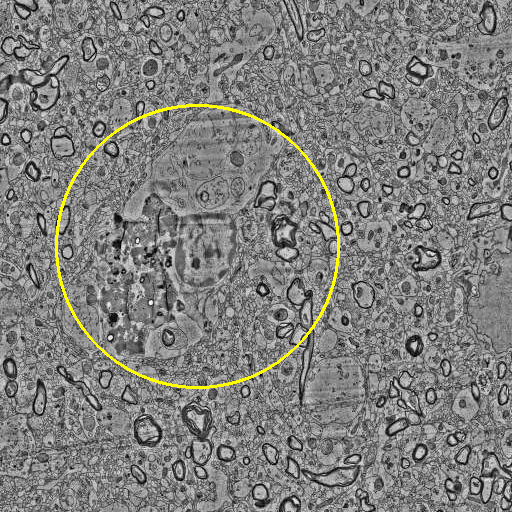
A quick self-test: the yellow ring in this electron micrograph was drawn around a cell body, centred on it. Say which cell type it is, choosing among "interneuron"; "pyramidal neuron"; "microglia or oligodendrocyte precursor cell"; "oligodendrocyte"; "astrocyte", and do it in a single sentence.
The yellow-ringed cell is an oligodendrocyte.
